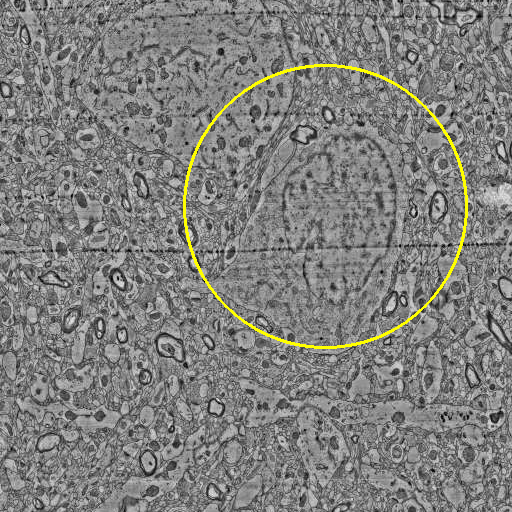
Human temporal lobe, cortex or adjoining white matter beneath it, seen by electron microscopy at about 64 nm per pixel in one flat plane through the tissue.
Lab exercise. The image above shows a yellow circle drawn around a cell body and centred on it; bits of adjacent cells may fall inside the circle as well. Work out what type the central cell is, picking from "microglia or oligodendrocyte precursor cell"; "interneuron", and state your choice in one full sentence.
In the image above, the cell at the centre of the yellow circle is an interneuron.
